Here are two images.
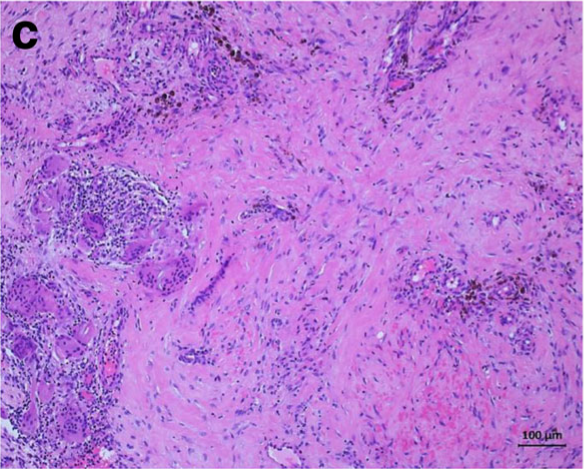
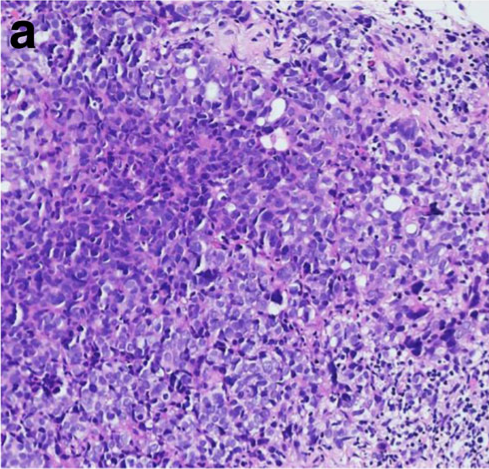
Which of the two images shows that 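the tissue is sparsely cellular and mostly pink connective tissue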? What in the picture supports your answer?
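First image: mostly pale pink fibrous stroma with scattered spindle cells and small cell clusters. Second image: field packed with crowded tumor cells with large dark nuclei.
Conclusion: the first image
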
